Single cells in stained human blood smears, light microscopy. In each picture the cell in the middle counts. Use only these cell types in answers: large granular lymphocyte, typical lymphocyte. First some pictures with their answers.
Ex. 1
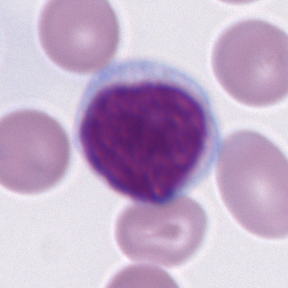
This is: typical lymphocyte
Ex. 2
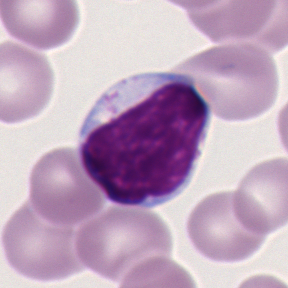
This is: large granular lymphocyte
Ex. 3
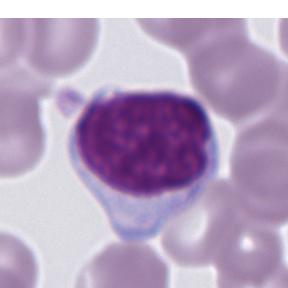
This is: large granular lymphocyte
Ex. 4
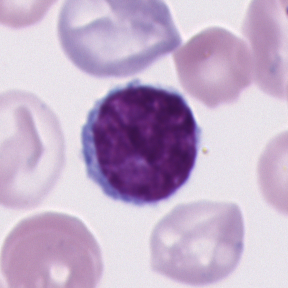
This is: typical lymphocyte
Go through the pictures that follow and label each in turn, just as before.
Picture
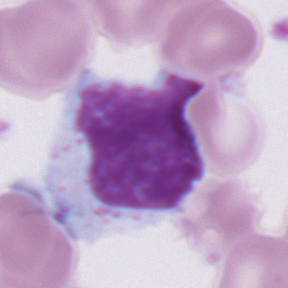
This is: large granular lymphocyte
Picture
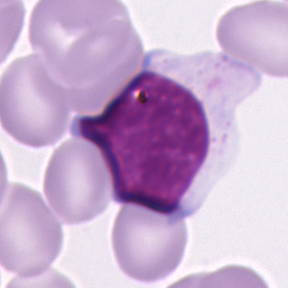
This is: large granular lymphocyte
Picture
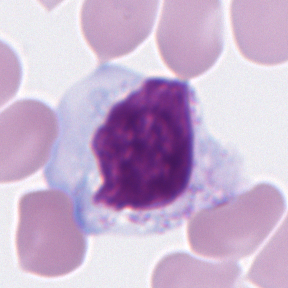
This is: large granular lymphocyte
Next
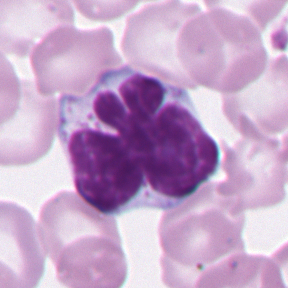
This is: large granular lymphocyte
